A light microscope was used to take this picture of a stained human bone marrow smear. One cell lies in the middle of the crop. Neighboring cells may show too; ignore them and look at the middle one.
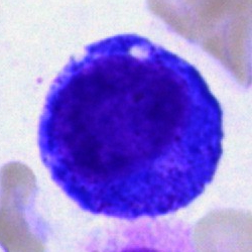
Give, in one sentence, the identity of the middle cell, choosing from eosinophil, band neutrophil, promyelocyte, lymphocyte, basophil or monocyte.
The middle of this crop holds a promyelocyte.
